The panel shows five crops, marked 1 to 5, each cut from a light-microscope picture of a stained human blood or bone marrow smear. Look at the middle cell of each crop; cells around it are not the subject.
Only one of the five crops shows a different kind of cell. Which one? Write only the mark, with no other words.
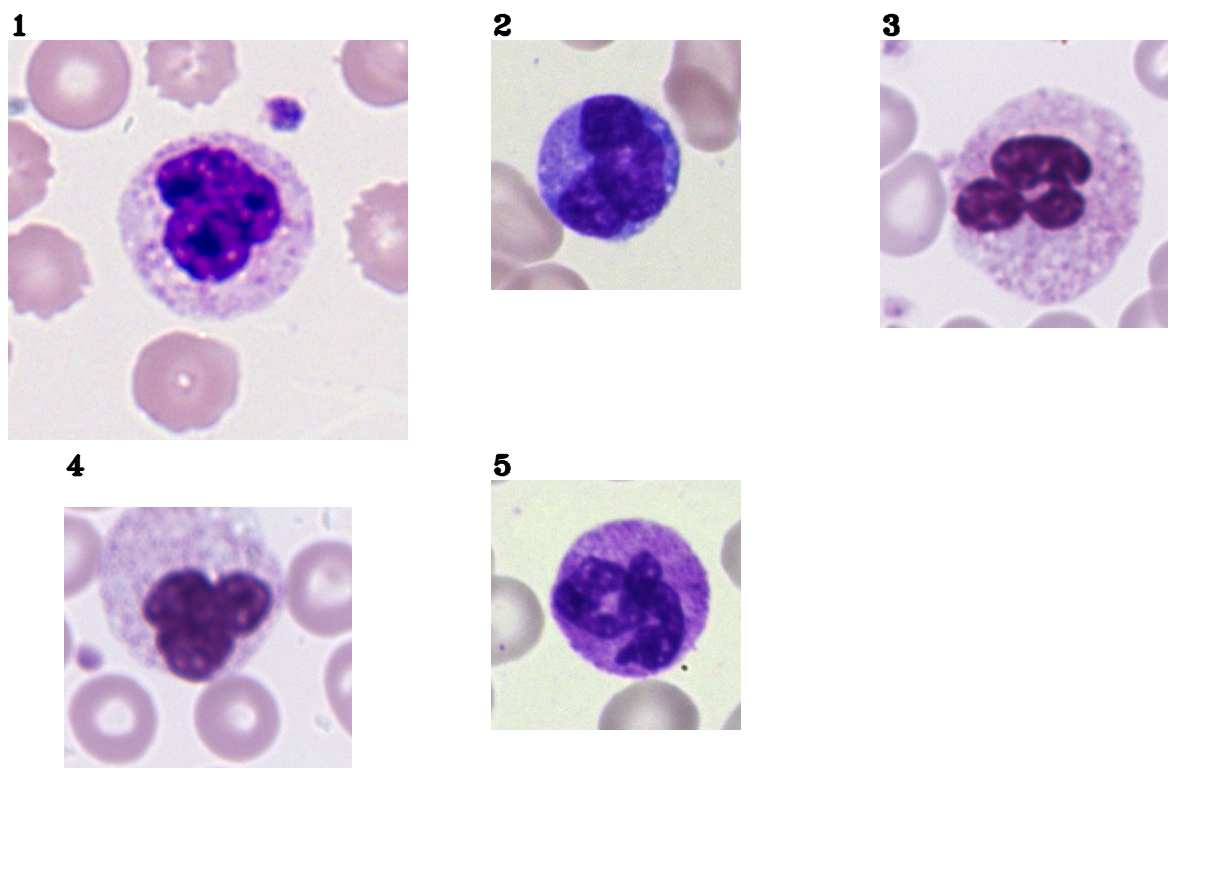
2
